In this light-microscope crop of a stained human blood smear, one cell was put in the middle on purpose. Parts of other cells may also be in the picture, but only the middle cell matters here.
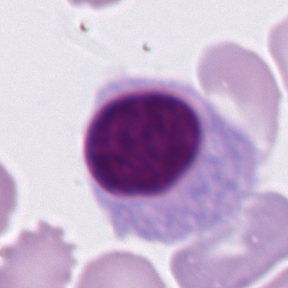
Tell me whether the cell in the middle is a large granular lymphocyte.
no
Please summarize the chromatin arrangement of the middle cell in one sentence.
This nucleus has coarsely clumped chromatin.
